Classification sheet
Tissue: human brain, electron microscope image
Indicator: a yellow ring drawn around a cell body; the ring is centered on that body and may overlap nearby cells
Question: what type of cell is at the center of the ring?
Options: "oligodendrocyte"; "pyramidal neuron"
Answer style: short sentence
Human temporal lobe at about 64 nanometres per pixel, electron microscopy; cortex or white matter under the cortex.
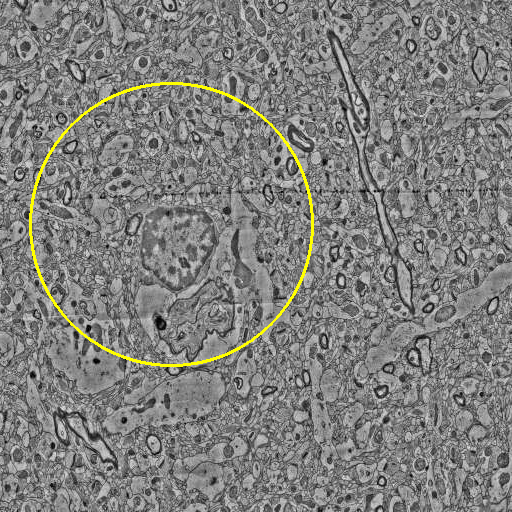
At the ring's center is an oligodendrocyte.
